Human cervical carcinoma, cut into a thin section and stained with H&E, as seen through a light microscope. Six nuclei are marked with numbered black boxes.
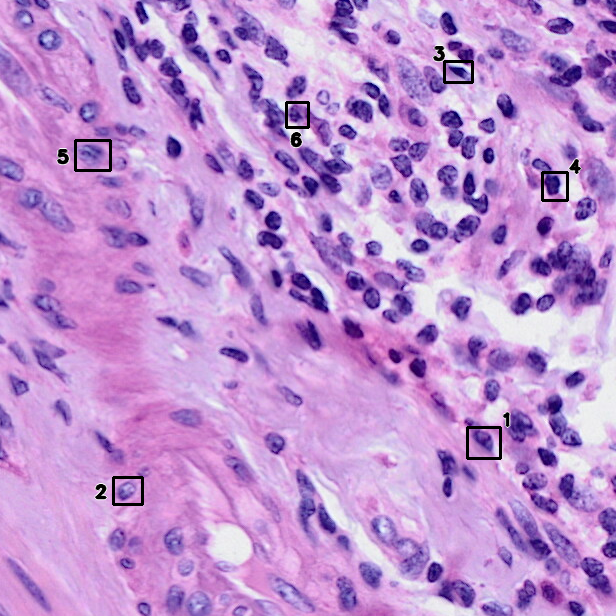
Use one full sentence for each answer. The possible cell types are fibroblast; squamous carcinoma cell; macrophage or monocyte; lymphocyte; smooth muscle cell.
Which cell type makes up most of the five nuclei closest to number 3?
Around number 3, most of the five nearest nuclei are those of macrophages or monocytes.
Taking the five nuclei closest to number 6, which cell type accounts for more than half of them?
Lymphocytes make up most of the five nuclei closest to number 6.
